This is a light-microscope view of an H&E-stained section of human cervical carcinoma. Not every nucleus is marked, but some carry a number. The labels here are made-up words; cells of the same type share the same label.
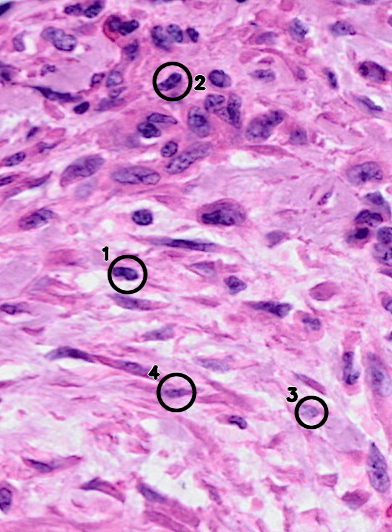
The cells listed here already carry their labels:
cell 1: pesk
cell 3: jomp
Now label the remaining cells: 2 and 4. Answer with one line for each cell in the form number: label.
2: pesk
4: jomp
